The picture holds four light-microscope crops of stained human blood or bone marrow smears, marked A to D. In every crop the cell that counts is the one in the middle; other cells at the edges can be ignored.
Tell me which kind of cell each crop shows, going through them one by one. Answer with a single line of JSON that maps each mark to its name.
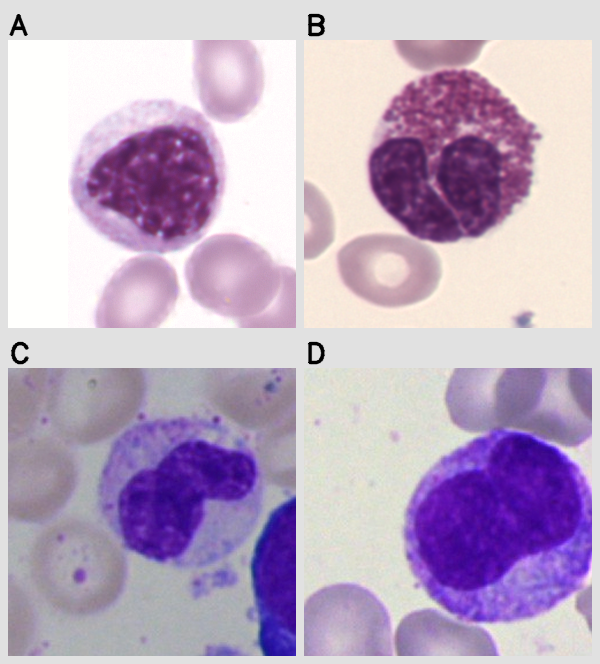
{"A": "metamyelocyte", "B": "eosinophil", "C": "metamyelocyte", "D": "metamyelocyte"}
